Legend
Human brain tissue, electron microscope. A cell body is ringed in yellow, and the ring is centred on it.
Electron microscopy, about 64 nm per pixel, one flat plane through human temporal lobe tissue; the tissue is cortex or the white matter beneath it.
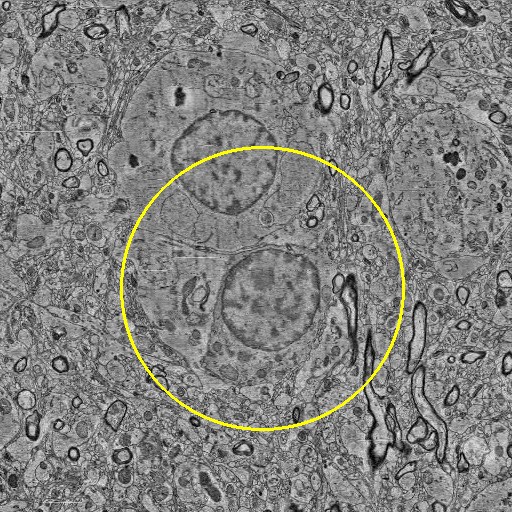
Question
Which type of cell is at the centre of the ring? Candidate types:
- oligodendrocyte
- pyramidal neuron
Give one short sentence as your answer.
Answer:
The yellow ring is centred here on an oligodendrocyte.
